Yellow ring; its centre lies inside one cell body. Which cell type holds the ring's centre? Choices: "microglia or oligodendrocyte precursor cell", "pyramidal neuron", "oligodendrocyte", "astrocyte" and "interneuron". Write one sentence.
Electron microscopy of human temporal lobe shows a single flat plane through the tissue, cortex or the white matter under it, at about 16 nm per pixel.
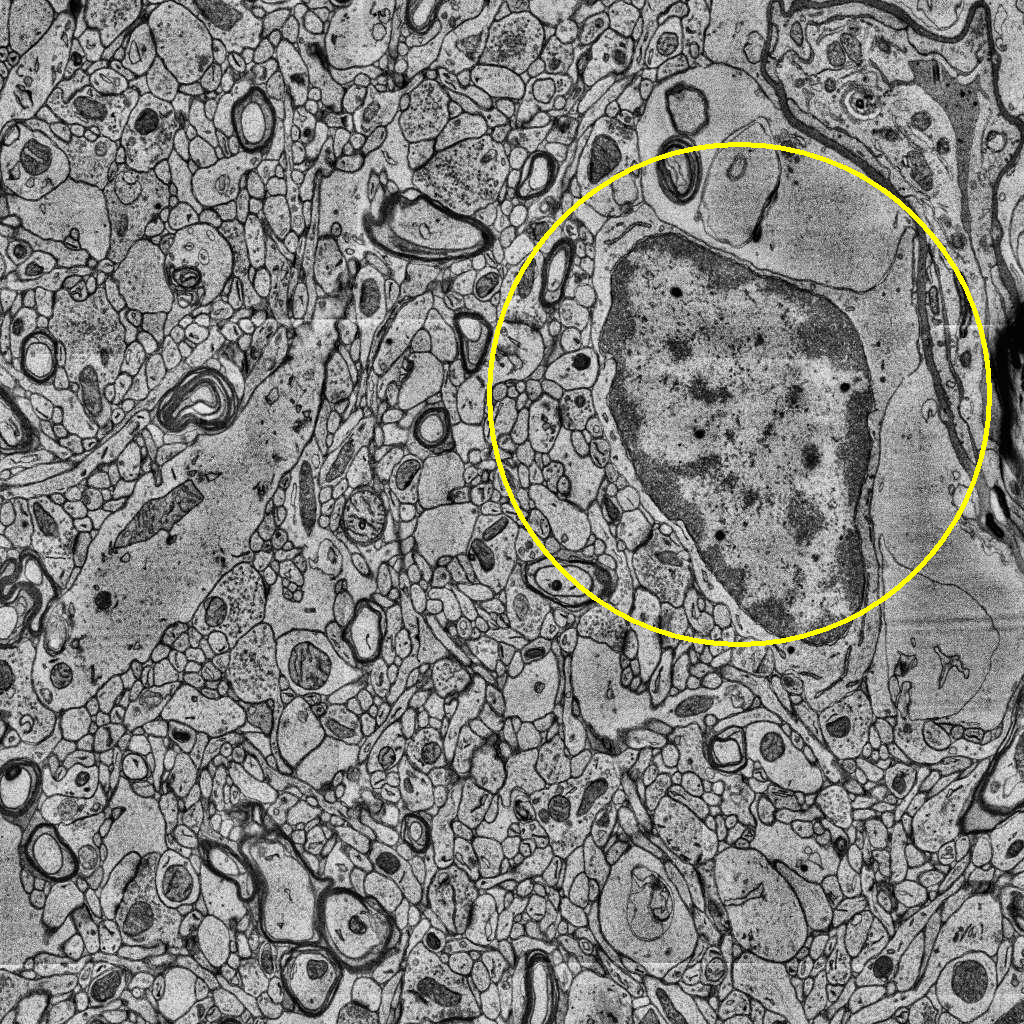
At the centre of the ring sits a microglial cell or oligodendrocyte precursor cell.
